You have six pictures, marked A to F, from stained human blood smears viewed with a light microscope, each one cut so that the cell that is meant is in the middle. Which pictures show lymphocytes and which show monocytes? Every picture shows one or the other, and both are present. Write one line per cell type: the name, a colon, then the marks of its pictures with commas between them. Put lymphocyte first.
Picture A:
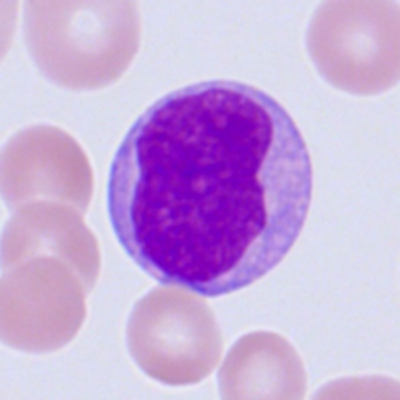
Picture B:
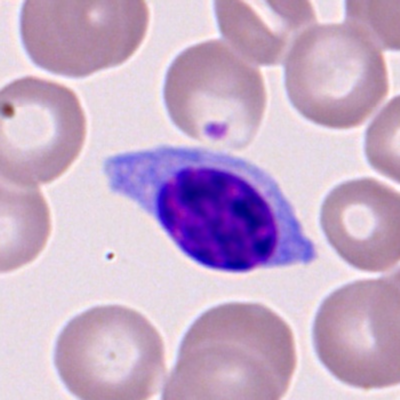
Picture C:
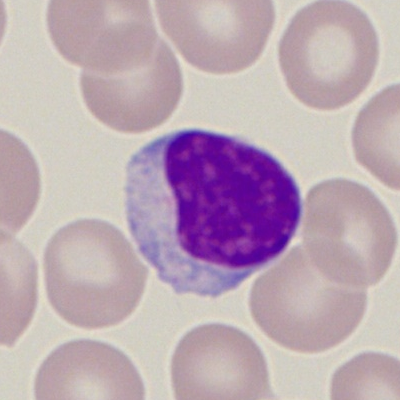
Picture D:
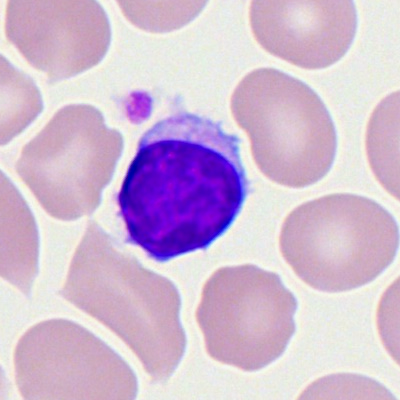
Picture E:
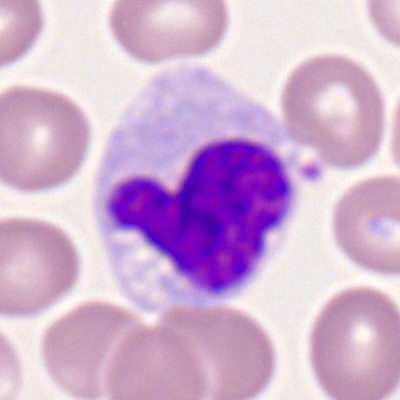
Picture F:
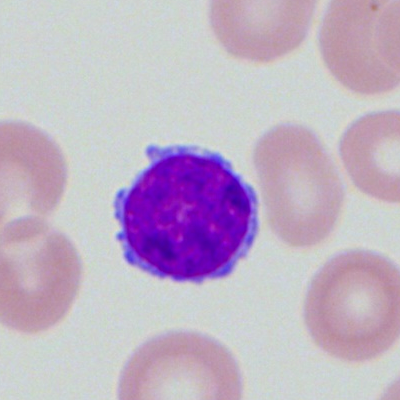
lymphocyte: B, C, D, F
monocyte: A, E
